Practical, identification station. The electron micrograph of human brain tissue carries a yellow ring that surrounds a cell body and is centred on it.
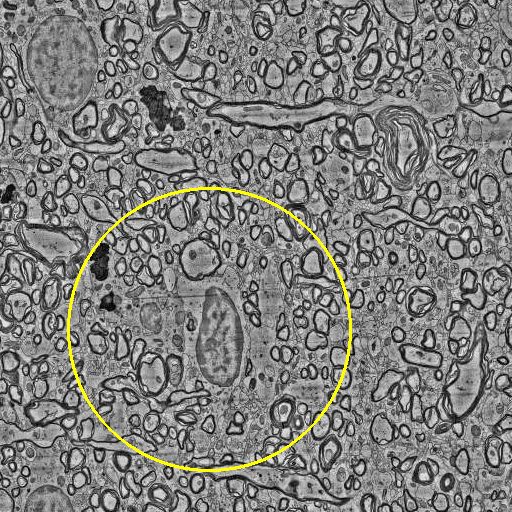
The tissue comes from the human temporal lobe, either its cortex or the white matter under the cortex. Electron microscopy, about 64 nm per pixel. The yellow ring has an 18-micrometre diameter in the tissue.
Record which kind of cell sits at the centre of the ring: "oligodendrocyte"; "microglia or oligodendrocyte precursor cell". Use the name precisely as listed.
microglia or oligodendrocyte precursor cell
